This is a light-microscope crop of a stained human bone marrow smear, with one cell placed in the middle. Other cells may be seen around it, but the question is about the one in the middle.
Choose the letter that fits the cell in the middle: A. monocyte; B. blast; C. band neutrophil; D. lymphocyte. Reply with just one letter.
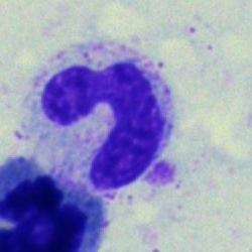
C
